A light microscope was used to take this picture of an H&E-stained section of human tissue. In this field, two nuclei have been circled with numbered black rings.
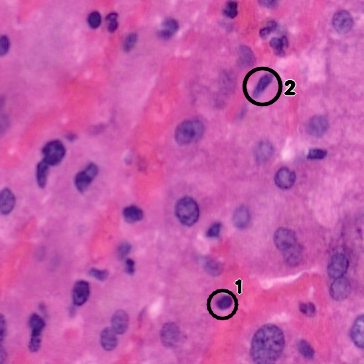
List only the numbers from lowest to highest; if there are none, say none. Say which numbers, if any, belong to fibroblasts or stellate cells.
2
